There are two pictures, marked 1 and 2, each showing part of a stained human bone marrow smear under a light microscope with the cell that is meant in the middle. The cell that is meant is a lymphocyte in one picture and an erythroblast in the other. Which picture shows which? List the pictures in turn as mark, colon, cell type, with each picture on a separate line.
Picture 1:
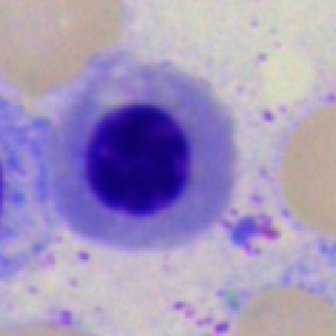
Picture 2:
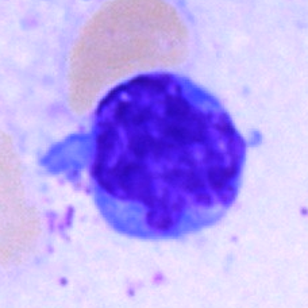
1: erythroblast
2: lymphocyte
